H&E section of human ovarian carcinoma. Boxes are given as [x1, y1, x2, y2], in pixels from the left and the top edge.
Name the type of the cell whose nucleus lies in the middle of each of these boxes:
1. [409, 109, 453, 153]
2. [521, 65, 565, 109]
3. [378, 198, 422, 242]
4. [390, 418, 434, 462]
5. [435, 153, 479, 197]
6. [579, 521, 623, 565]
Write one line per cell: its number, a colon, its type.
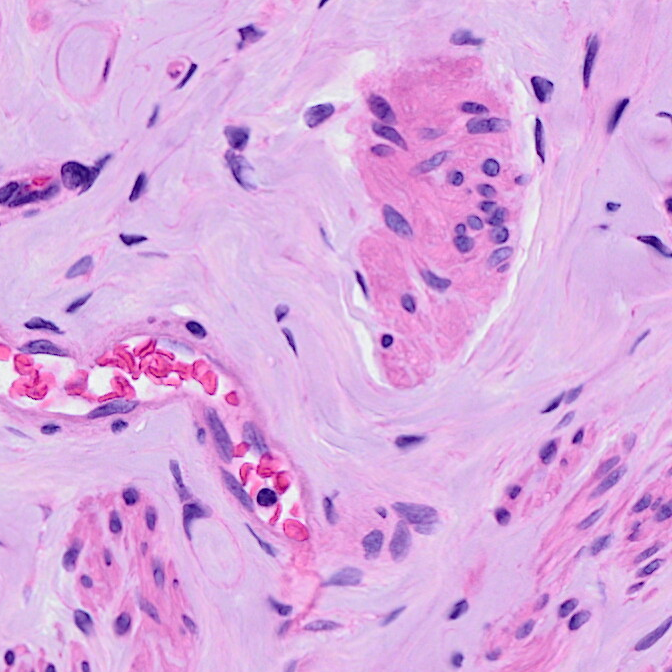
1: smooth muscle cell
2: fibroblast
3: smooth muscle cell
4: fibroblast
5: smooth muscle cell
6: smooth muscle cell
